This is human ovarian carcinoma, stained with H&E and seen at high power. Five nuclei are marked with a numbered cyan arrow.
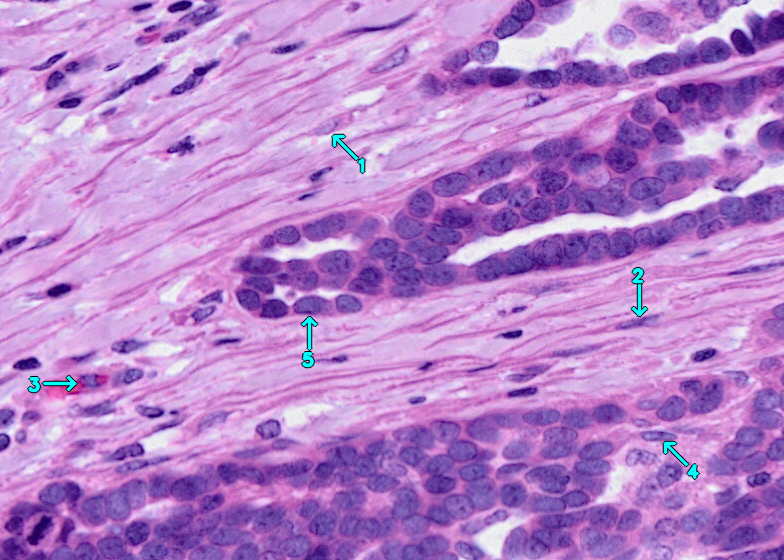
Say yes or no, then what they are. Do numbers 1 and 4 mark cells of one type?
Yes, that is correct, cells 1 and 4 are both fibroblasts.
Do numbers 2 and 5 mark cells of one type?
No, cell 2 is a fibroblast, while cell 5 is a carcinoma cell.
